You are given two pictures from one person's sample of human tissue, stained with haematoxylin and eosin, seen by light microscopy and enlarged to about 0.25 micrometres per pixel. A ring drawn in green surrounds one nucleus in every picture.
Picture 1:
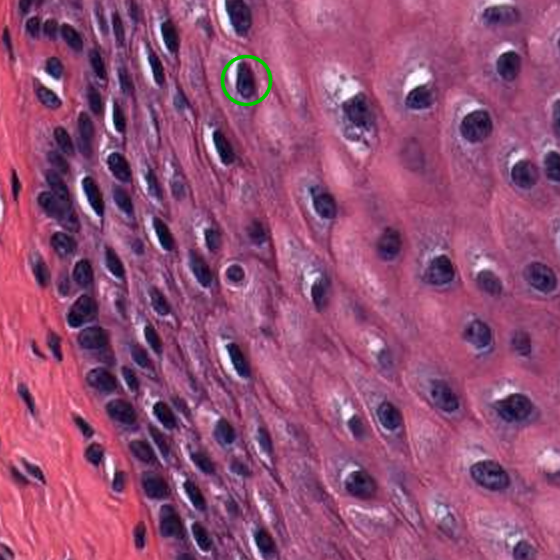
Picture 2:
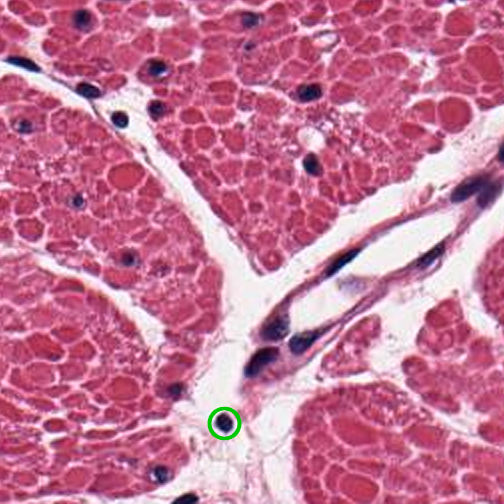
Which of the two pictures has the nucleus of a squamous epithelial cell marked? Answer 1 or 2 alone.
1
